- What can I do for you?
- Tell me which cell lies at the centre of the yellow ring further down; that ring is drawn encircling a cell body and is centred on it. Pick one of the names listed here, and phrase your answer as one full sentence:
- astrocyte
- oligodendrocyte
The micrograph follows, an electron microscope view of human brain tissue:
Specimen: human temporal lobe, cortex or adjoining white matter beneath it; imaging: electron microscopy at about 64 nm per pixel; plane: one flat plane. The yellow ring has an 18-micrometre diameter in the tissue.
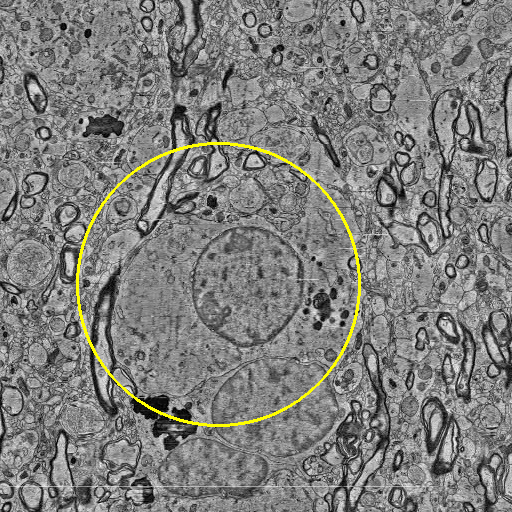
The cell whose body lies at the centre of the yellow ring is an astrocyte.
